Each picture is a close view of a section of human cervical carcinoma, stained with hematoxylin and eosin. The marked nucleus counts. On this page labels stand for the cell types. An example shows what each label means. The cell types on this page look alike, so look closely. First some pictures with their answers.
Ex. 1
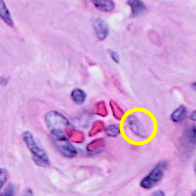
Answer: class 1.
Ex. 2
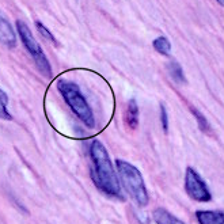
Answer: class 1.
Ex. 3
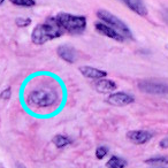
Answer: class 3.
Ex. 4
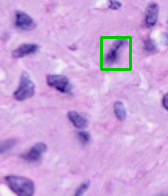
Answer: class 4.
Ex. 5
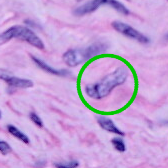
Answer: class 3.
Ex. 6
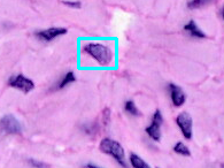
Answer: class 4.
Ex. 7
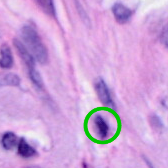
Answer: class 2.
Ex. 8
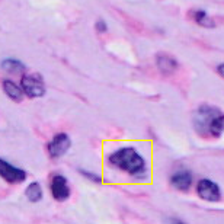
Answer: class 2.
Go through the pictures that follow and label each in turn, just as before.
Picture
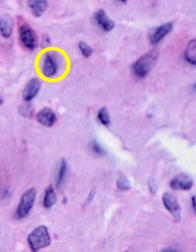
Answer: class 4.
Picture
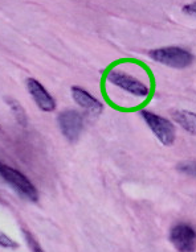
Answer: class 4.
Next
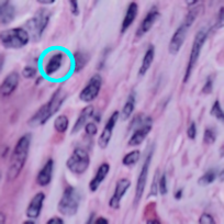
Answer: class 2.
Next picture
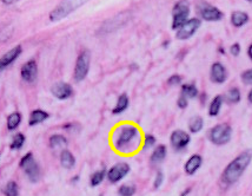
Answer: class 3.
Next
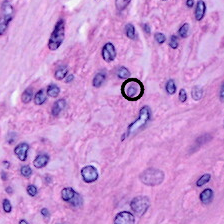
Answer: class 3.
